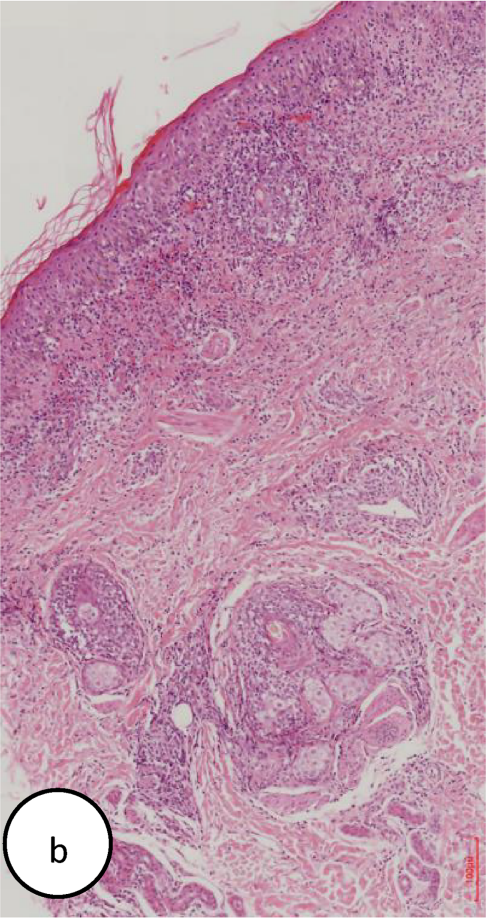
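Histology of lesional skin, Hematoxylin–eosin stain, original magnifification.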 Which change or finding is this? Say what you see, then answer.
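Perivascular and periadnexal mononuclear infiltrate. Dense clusters of small dark round nuclei surround the follicular structures in the lower dermis. Many small dark nuclei crowd the upper dermis beneath the epidermis.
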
